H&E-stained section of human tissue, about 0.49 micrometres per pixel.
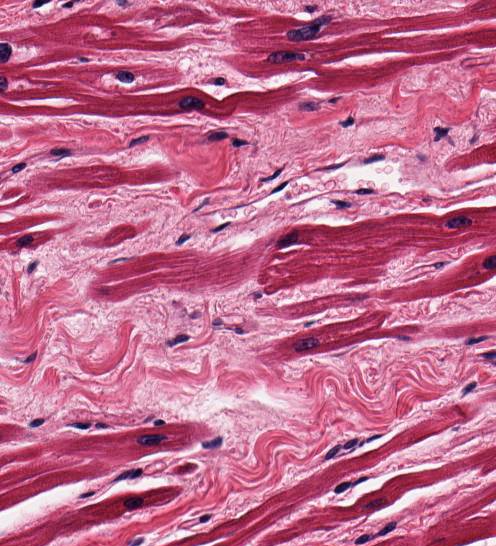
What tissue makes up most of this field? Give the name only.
myocardium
